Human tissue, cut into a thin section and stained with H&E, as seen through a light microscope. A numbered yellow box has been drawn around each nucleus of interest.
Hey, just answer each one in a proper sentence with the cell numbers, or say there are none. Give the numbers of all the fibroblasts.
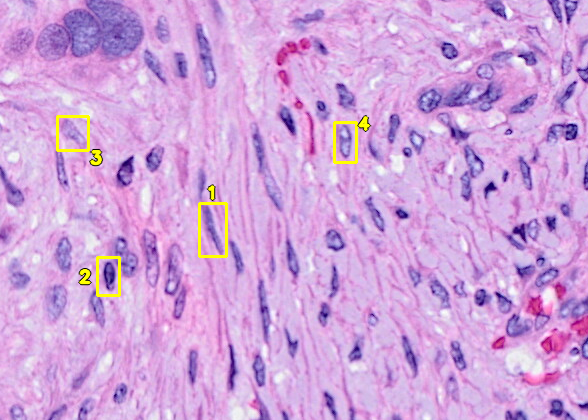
The numbers 1, 3 and 4 in this section indicate fibroblasts.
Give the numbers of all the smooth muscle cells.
Any smooth muscle cells present in the section are not among the numbered cells.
